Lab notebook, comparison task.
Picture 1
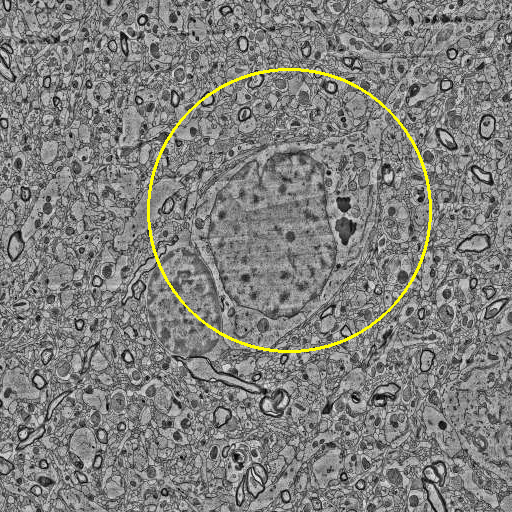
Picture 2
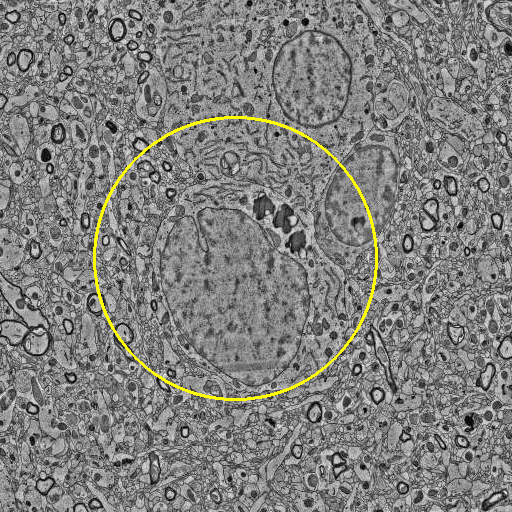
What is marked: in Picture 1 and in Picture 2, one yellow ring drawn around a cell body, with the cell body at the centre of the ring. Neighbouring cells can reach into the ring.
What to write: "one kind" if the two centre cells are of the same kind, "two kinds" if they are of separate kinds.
one kind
